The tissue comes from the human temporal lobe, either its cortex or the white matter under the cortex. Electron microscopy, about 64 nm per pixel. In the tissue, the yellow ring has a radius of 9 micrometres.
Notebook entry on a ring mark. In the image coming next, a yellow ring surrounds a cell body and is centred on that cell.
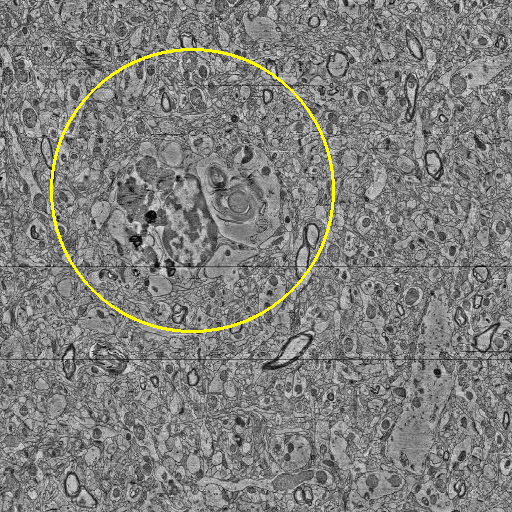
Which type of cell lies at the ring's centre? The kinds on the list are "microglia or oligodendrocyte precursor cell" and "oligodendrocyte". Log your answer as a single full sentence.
Centred in the yellow ring is a microglial cell or oligodendrocyte precursor cell, the cell recorded for this image.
